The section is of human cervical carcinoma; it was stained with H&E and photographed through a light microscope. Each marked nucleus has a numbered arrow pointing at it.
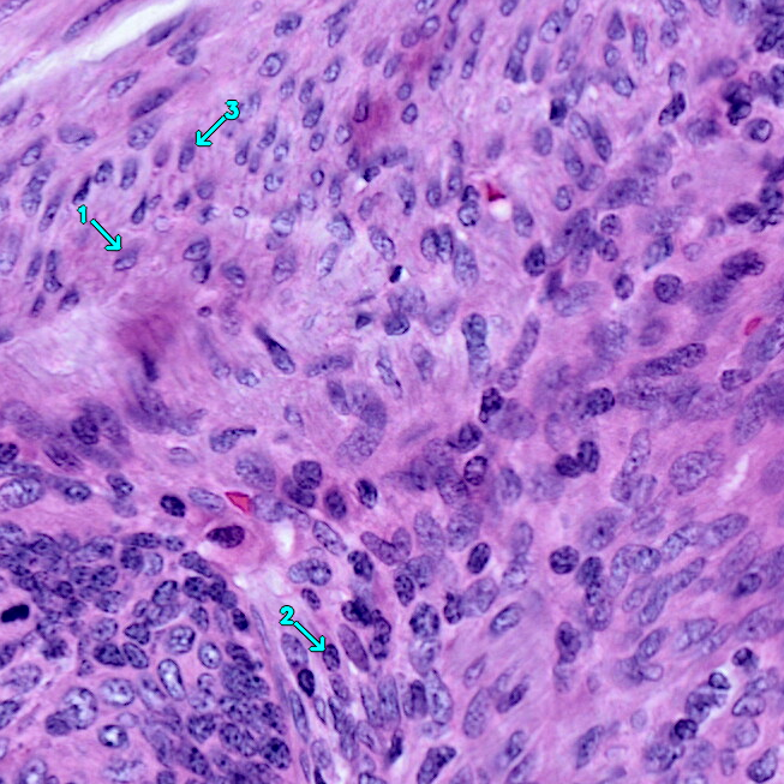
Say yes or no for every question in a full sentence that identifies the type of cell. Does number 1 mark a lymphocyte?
No, with respect, cell 1 is a smooth muscle cell rather than a lymphocyte.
